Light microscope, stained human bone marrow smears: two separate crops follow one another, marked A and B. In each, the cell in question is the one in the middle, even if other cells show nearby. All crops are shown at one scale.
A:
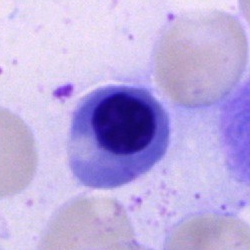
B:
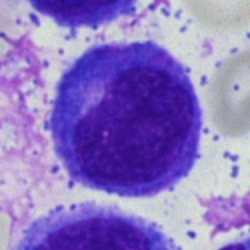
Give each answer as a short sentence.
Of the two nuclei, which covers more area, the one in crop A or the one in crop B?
The nucleus in crop B is larger, with about 4 times the area of the one in crop A.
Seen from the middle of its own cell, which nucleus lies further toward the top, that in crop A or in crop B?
The nucleus in crop A lies further toward the top of its cell.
